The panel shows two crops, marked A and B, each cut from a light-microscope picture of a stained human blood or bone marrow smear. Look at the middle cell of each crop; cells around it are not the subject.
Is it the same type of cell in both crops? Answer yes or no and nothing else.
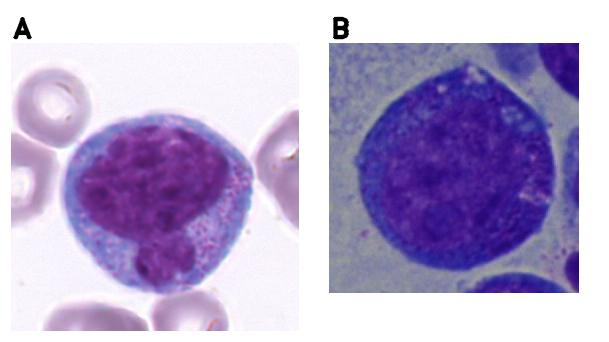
yes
